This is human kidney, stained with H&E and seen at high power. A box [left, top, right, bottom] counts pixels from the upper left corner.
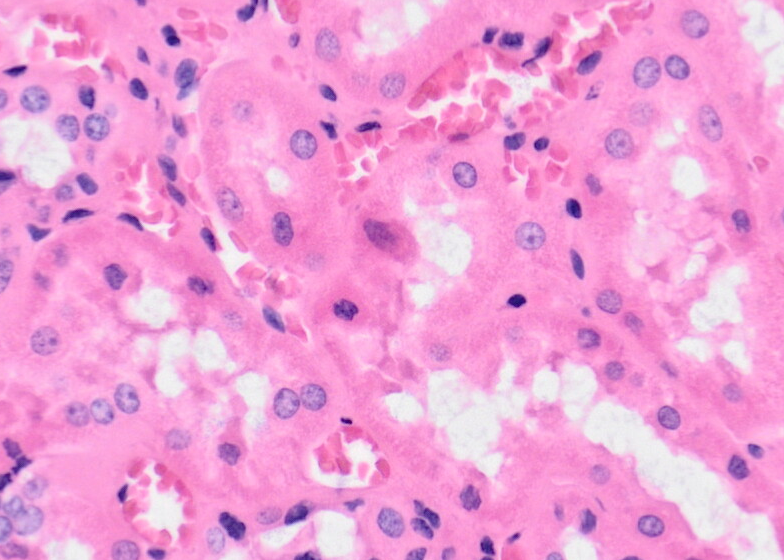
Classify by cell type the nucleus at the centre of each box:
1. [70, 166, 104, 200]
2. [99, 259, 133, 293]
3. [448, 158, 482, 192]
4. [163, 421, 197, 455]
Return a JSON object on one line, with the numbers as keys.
{"1": "collecting duct cell", "2": "proximal tubule cell", "3": "proximal tubule cell", "4": "proximal tubule cell"}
